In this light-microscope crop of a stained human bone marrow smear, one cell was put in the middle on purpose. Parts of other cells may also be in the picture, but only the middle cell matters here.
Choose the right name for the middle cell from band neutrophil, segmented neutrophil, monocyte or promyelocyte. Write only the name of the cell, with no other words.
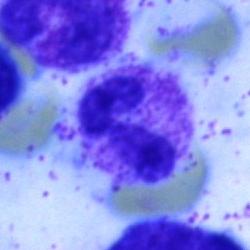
segmented neutrophil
